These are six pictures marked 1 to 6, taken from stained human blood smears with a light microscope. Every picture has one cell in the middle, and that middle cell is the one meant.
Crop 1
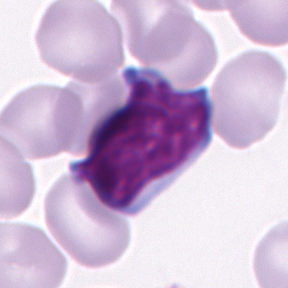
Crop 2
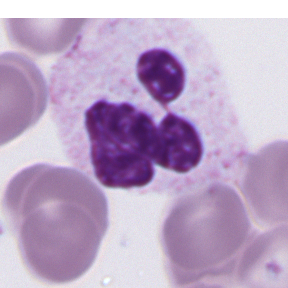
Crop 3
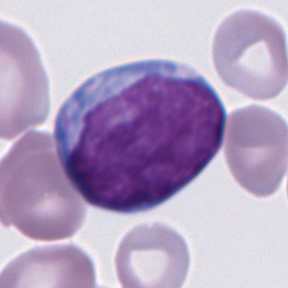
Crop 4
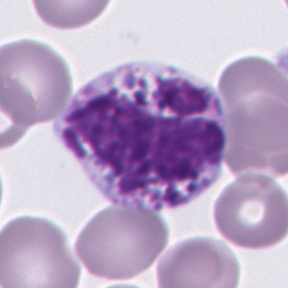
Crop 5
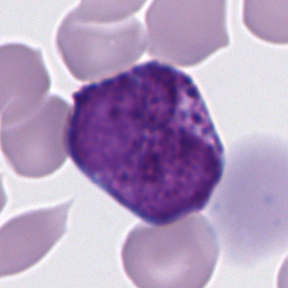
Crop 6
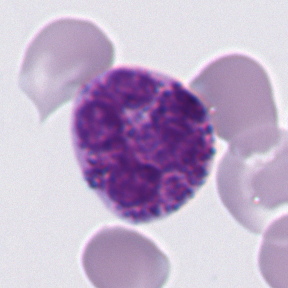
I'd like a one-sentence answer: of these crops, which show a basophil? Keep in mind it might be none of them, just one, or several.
Crops 4, 5 and 6 are the crops whose central cells are basophils.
